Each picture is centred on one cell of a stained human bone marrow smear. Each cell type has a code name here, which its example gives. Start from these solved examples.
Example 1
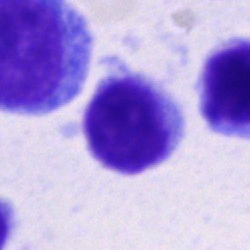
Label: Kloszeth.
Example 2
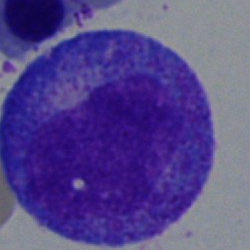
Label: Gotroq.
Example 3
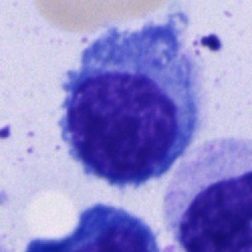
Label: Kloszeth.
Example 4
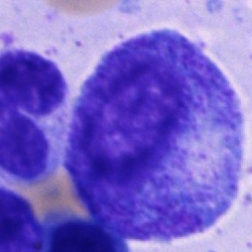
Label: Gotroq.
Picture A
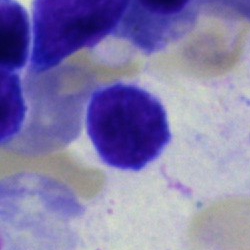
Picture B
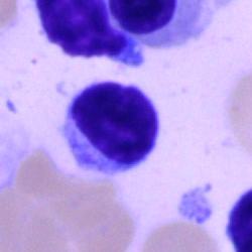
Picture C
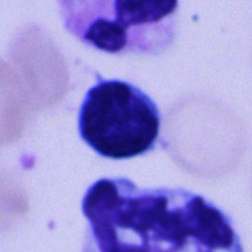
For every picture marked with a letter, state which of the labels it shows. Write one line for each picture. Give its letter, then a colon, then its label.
A: Kloszeth.
B: Kloszeth.
C: Kloszeth.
